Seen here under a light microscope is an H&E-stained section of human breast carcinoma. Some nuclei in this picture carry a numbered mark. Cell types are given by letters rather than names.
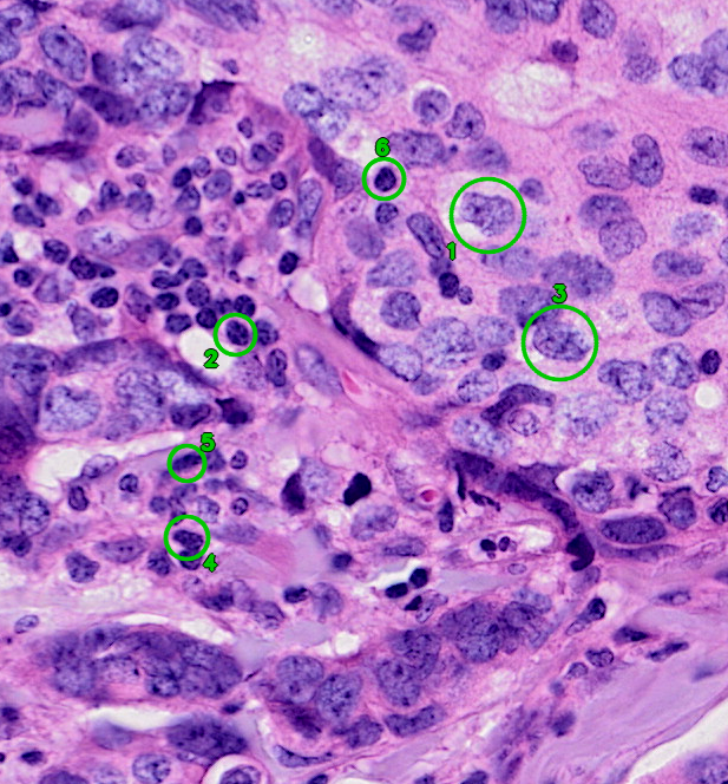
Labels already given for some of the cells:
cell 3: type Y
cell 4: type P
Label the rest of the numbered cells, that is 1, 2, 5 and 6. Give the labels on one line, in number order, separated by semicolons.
type Y; type P; type P; type P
